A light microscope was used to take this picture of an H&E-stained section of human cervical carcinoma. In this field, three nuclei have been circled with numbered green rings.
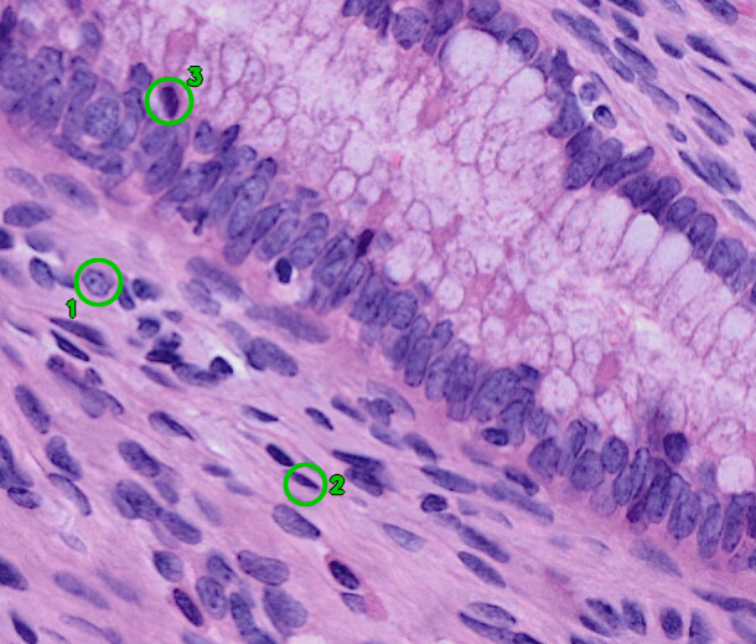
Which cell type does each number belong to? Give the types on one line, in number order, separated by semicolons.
endothelial cell; fibroblast; secretory epithelial cell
